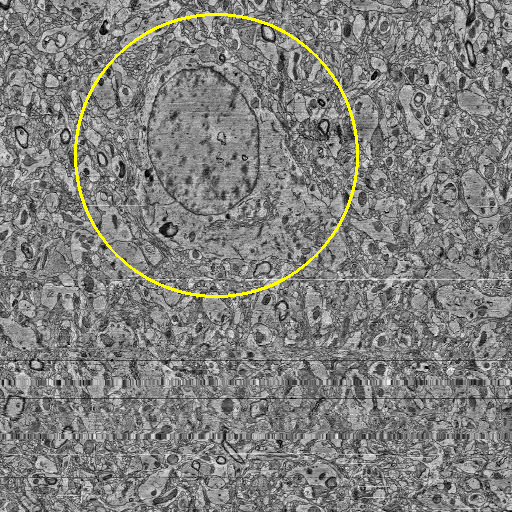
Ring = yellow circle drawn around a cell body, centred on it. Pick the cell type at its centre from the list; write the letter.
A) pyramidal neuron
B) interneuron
A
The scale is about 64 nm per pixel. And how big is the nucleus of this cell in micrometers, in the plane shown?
In this plane the nucleus spans approximately 10 by 7 micrometers.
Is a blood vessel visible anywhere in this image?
No, the image shows no blood vessel.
